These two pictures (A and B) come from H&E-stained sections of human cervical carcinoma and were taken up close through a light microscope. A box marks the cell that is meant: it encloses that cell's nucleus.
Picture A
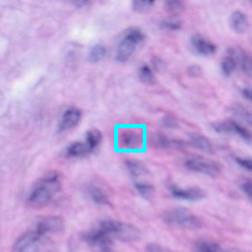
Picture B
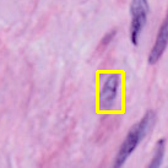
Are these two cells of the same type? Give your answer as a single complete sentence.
Yes, they are the same type: both are smooth muscle cells.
